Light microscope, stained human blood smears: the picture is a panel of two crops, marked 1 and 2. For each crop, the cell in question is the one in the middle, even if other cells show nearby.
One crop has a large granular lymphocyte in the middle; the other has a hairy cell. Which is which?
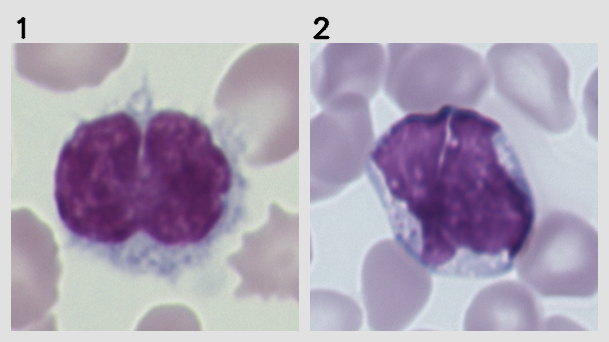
1: hairy cell
2: large granular lymphocyte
